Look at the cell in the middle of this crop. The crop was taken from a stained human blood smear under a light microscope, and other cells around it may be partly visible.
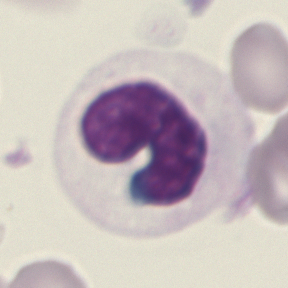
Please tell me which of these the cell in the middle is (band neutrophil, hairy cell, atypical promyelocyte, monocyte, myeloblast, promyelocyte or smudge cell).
band neutrophil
